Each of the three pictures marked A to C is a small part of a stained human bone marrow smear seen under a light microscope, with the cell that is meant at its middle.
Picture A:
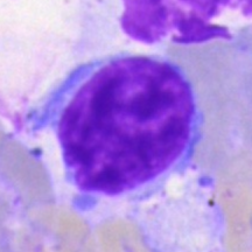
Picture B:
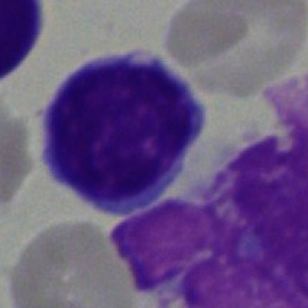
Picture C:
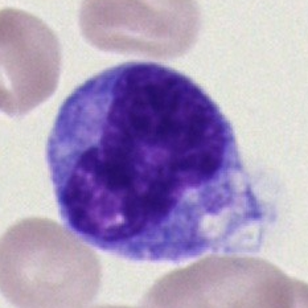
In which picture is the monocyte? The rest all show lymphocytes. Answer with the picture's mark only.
C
